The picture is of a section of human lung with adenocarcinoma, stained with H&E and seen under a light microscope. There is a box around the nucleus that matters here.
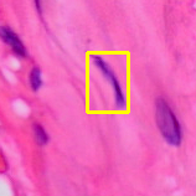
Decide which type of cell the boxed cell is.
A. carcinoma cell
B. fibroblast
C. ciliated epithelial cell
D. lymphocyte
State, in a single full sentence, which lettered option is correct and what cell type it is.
Option B is correct here; the boxed cell is a fibroblast.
